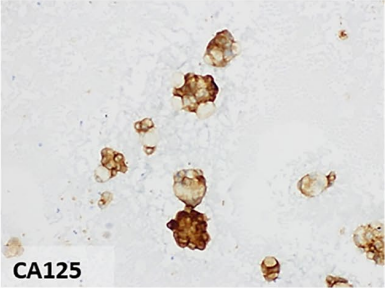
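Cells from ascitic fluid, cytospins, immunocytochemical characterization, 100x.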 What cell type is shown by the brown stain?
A: Neoplastic cells.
